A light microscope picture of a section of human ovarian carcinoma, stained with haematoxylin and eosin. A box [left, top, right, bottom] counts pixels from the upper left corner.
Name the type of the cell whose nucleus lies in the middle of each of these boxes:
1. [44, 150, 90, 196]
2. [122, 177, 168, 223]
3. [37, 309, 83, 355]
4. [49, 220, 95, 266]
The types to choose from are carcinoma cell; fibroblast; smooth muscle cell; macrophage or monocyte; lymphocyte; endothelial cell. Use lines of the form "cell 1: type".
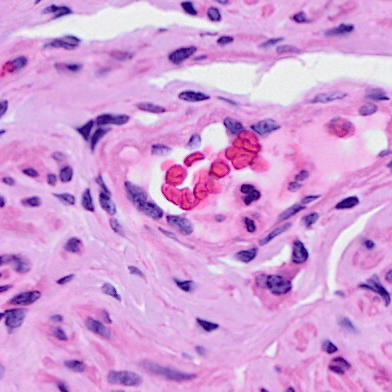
cell 1: smooth muscle cell
cell 2: endothelial cell
cell 3: smooth muscle cell
cell 4: smooth muscle cell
